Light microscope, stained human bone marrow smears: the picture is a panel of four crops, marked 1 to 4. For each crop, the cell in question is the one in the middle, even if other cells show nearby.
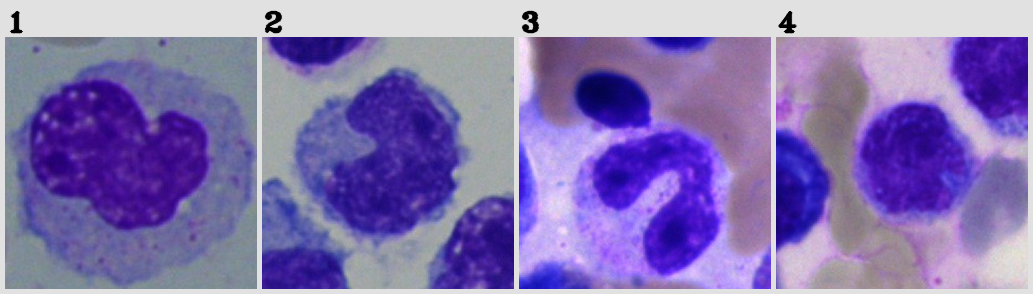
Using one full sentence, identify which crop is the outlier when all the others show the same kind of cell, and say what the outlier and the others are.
Crop 3 is the exception here: it is a band neutrophil, and the others are monocytes.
